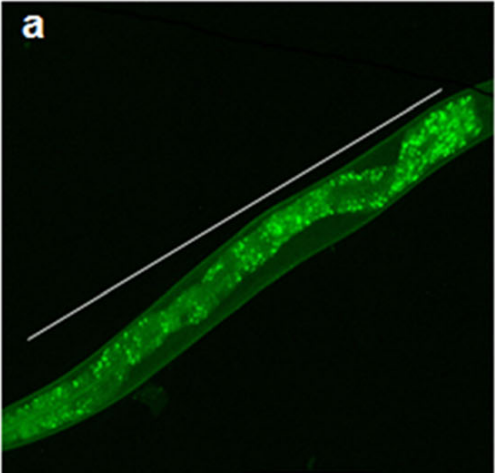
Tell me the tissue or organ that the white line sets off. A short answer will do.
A: Intestine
